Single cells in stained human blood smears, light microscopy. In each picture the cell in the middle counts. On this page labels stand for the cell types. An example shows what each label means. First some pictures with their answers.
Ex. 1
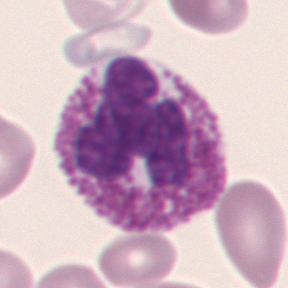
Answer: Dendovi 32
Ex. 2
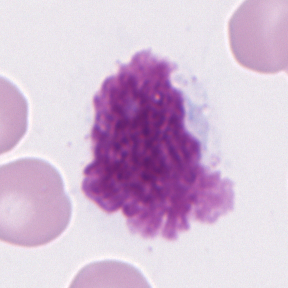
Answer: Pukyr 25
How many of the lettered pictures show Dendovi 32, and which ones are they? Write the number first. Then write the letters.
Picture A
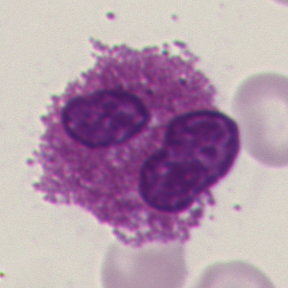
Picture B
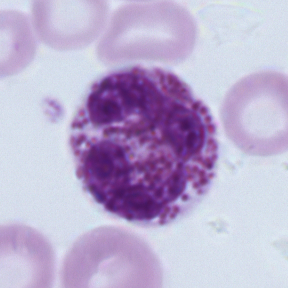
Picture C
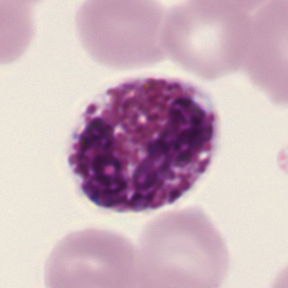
3, namely A, B, C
